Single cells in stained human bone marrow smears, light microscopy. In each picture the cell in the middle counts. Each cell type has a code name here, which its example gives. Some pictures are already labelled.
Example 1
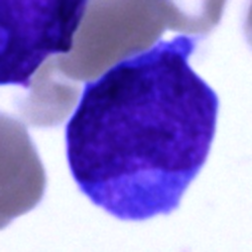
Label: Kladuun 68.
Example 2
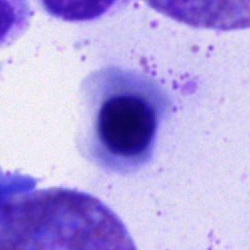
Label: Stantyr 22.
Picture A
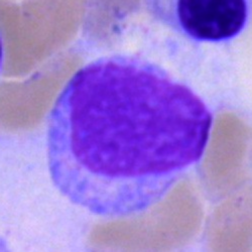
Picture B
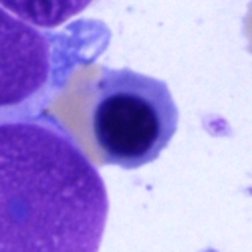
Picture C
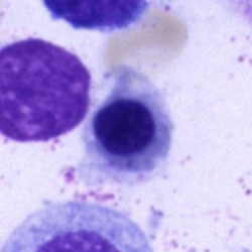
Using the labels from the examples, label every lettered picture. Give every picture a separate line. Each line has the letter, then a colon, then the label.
A: Kladuun 68.
B: Stantyr 22.
C: Stantyr 22.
